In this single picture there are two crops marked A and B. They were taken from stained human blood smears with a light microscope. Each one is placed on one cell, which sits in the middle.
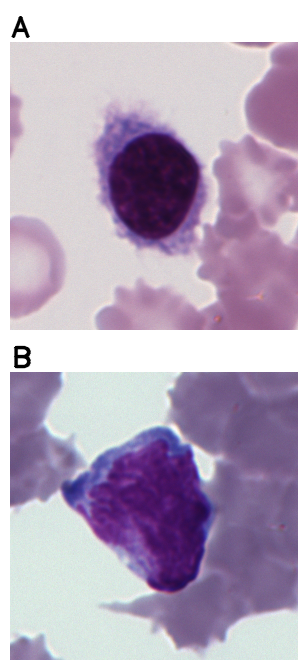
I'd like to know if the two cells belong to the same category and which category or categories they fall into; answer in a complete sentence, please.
No, crop A shows a hairy cell, and it is crop B that shows a myeloblast.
